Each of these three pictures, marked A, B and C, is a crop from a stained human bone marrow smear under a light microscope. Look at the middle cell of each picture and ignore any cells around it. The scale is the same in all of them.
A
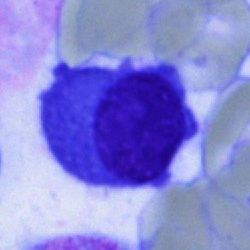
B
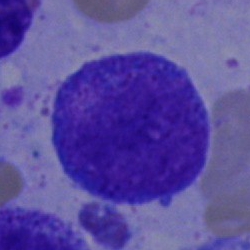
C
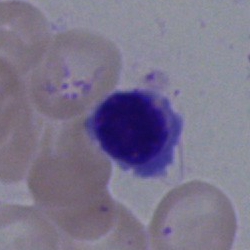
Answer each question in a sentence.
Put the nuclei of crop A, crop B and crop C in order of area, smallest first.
The order is C, A, B, beginning with the smallest.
